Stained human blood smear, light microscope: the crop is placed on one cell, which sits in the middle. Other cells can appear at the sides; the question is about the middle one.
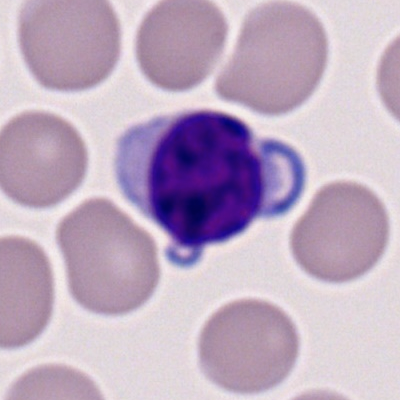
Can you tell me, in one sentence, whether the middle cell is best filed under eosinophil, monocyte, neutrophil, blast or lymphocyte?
Present in the middle of the crop is a lymphocyte.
